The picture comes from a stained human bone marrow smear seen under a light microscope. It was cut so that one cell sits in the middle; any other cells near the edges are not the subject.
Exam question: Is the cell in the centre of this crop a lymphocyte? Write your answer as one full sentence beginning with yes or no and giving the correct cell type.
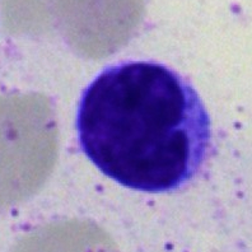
Yes, the cell here in the middle is a lymphocyte.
